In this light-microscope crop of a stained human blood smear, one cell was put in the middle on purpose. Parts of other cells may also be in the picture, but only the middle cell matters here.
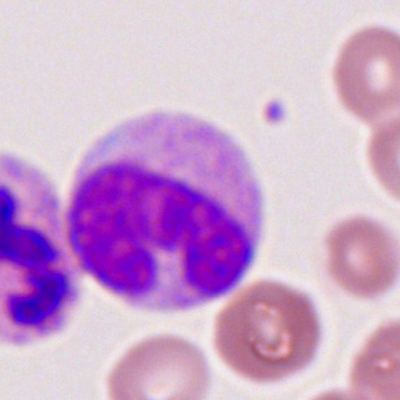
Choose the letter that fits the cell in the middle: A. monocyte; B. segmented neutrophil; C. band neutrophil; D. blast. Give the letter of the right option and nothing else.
A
